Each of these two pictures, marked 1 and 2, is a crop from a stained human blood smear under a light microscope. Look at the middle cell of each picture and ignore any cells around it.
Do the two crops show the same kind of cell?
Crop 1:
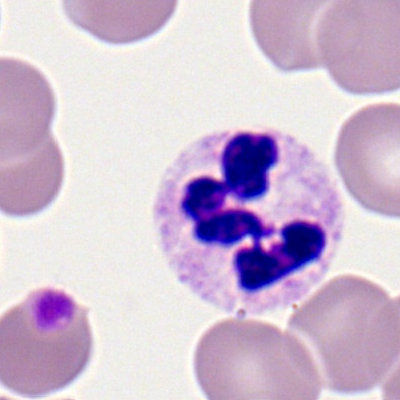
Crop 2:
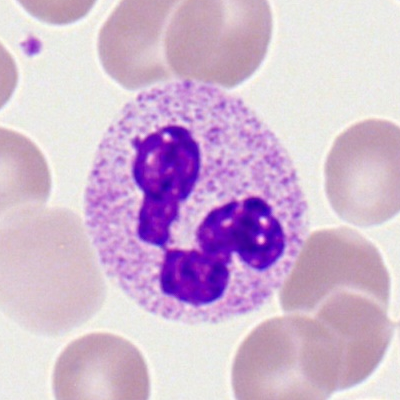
yes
